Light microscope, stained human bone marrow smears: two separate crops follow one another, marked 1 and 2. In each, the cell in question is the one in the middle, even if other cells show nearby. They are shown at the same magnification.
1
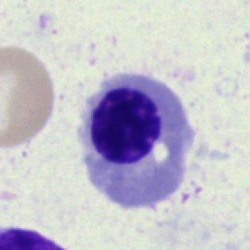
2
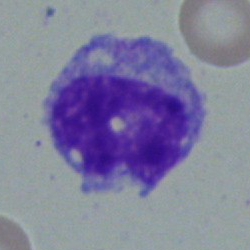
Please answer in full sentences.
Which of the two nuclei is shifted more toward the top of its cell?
It is the nucleus in crop 1 that lies further toward the top of its cell.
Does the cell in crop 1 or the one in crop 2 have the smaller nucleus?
Smaller is the nucleus in crop 1, and the other is about 3 times as large in area.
